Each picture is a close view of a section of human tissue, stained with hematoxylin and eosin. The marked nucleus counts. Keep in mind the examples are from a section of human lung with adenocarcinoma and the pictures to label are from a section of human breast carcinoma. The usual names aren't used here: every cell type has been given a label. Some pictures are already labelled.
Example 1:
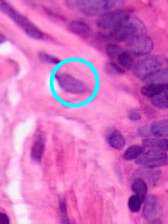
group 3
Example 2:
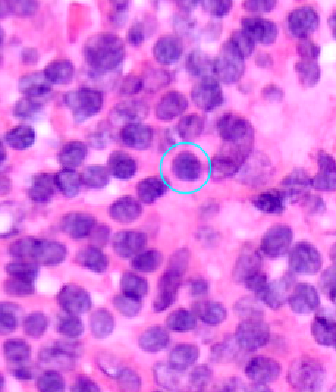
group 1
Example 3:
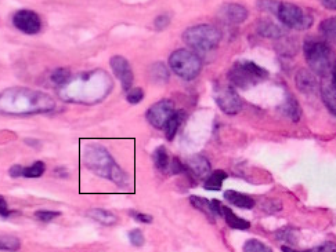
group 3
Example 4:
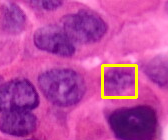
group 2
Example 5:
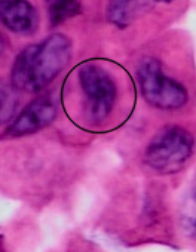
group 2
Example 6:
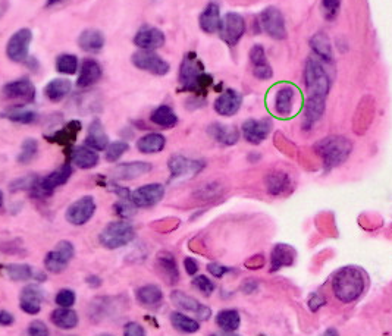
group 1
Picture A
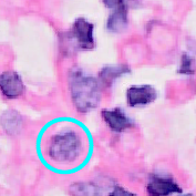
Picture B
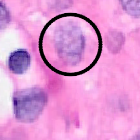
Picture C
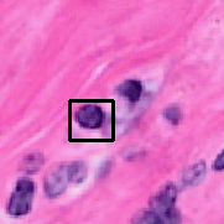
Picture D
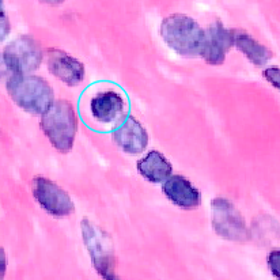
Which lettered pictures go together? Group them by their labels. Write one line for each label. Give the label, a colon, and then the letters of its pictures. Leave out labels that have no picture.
group 1: C, D
group 2: A, B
